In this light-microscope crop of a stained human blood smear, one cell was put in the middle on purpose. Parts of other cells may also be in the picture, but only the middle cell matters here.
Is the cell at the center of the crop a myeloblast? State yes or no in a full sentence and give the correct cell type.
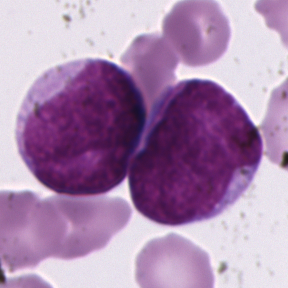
Yes, the middle cell is properly termed a myeloblast.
